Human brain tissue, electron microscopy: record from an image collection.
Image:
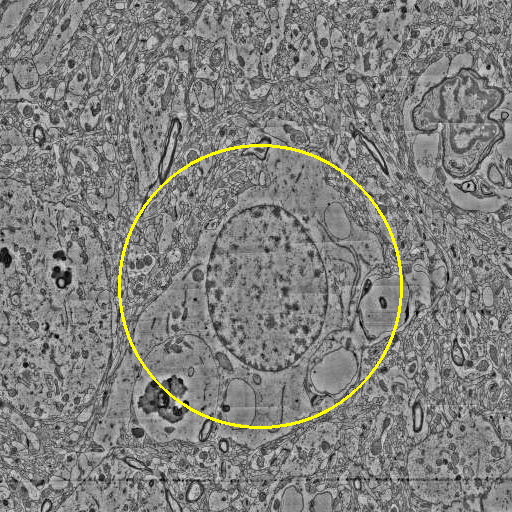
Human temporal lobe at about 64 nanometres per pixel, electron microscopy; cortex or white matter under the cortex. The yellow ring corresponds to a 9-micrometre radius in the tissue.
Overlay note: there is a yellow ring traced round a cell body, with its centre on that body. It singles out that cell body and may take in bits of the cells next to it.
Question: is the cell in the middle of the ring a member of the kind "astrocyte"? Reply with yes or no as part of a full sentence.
Yes, the image's ringed cell, the one at the ring's centre, is a member of that kind.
